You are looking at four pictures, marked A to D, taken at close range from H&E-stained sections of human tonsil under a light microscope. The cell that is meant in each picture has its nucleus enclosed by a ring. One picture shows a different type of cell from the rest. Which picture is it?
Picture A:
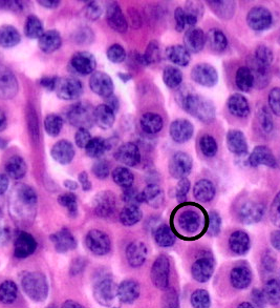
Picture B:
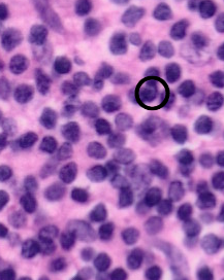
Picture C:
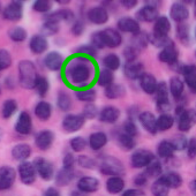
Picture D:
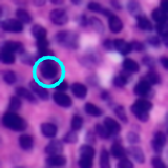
A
